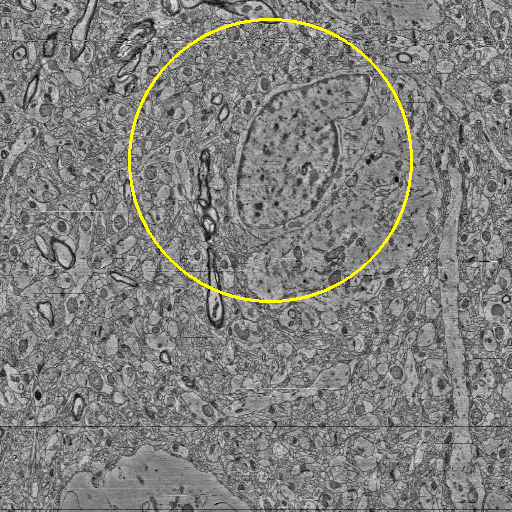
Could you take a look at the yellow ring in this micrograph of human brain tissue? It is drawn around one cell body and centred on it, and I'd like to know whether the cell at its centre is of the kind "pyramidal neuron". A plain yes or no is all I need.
no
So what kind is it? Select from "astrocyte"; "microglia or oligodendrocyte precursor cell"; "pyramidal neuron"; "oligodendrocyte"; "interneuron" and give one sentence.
Here, the ring is centred on a microglial cell or oligodendrocyte precursor cell instead.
